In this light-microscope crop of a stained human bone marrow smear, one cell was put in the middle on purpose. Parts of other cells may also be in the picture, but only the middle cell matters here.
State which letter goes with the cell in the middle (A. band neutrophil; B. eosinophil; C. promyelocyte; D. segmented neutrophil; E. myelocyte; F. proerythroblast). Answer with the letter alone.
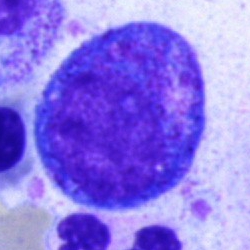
C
